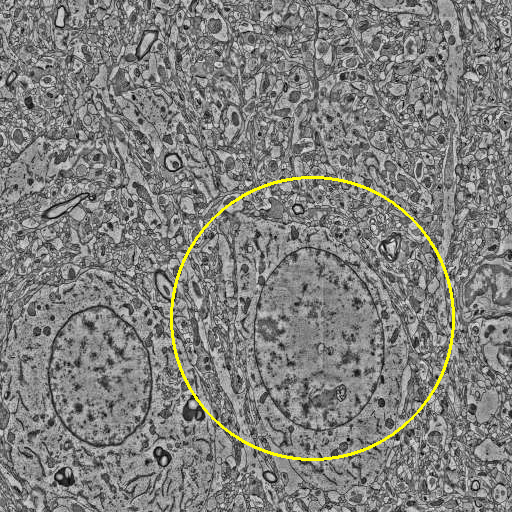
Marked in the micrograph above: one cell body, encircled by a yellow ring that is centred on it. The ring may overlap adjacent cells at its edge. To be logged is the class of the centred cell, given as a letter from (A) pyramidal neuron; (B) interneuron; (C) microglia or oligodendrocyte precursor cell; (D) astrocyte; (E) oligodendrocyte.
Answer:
A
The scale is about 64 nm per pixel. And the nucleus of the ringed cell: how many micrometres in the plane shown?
In this plane, approximately 12 by 8 micrometers.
